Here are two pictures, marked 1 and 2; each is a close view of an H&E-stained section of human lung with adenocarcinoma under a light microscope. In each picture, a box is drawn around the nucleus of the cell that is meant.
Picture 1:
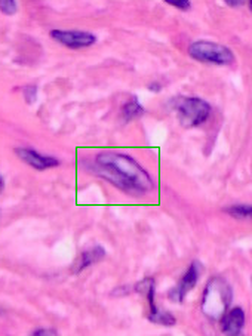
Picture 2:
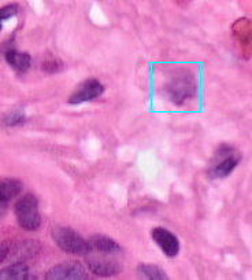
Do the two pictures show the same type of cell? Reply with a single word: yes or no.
no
